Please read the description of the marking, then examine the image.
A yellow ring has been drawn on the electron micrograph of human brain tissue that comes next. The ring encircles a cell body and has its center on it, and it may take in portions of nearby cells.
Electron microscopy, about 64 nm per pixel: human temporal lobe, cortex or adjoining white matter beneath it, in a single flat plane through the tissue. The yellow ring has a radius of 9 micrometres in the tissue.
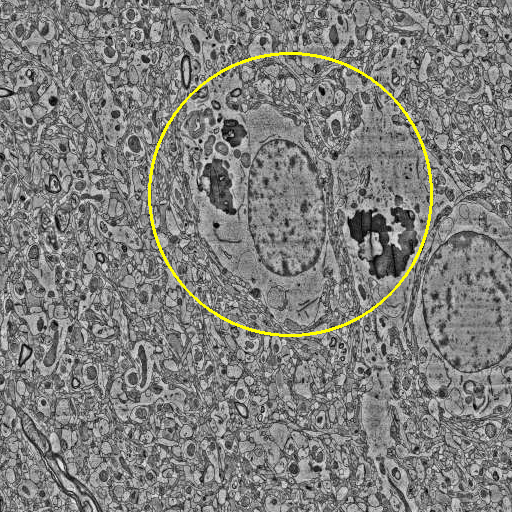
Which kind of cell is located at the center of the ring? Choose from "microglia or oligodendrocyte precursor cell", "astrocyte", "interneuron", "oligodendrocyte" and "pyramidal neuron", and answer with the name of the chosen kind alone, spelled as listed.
astrocyte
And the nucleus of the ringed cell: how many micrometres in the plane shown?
Roughly 9 micrometres long and 5 micrometres wide; in this plane the nucleus is clearly longer than it is wide.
